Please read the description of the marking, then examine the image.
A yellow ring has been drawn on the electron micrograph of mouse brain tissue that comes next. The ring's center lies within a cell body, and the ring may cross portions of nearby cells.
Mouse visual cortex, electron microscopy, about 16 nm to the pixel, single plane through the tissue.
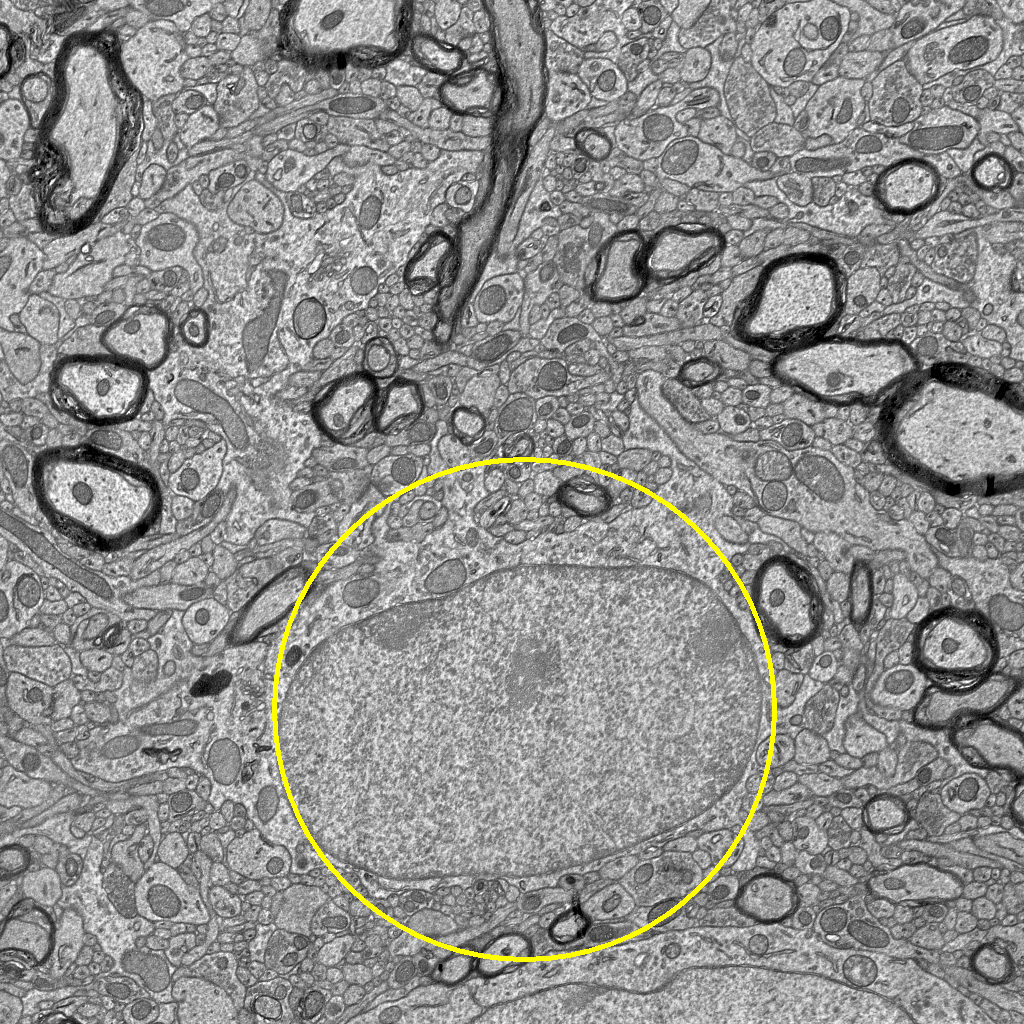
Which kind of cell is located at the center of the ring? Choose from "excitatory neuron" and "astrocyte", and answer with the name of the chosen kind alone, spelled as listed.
astrocyte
